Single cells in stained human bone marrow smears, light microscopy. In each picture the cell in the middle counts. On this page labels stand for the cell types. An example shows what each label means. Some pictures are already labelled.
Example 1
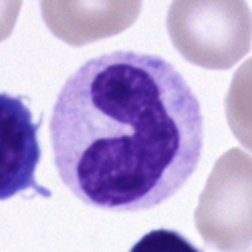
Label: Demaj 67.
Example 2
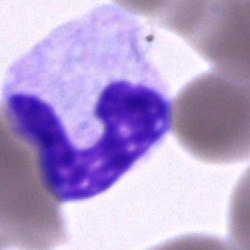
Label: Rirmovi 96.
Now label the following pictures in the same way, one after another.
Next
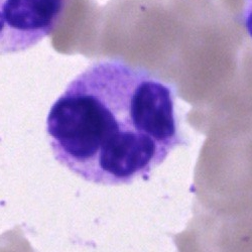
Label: Rirmovi 96.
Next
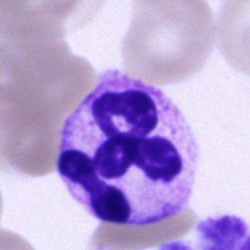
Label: Rirmovi 96.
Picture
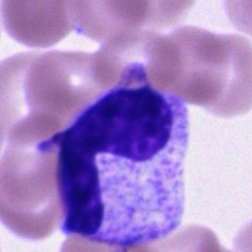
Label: Demaj 67.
